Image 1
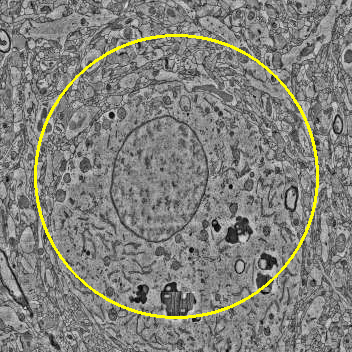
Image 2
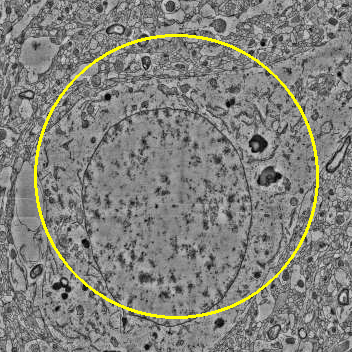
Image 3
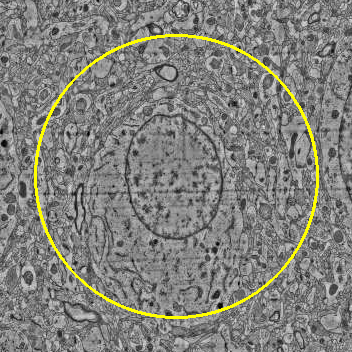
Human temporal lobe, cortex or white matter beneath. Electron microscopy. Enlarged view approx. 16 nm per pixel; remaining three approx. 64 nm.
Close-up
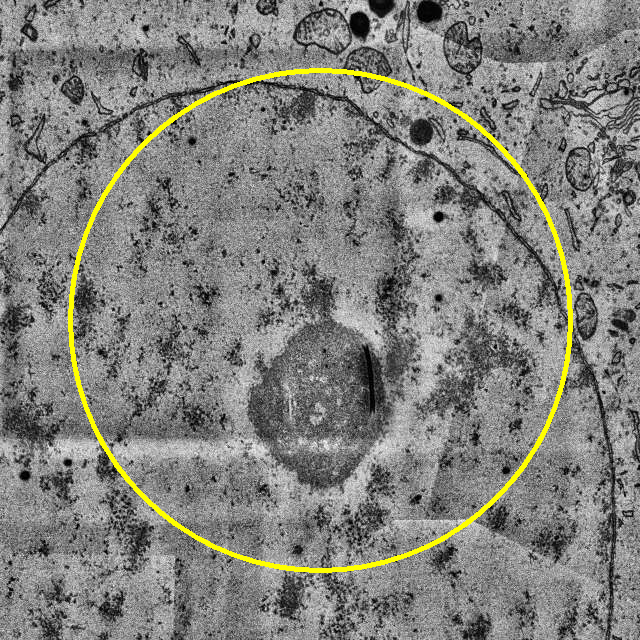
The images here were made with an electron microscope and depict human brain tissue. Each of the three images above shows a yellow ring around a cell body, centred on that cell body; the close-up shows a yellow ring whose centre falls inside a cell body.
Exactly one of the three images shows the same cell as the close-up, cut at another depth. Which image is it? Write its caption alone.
Image 2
